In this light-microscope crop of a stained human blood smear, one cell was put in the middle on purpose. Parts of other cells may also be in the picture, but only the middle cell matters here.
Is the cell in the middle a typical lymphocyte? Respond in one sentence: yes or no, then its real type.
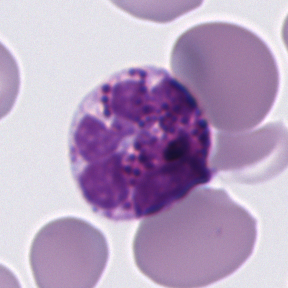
No, the middle of this crop is occupied by a basophil rather than a typical lymphocyte.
